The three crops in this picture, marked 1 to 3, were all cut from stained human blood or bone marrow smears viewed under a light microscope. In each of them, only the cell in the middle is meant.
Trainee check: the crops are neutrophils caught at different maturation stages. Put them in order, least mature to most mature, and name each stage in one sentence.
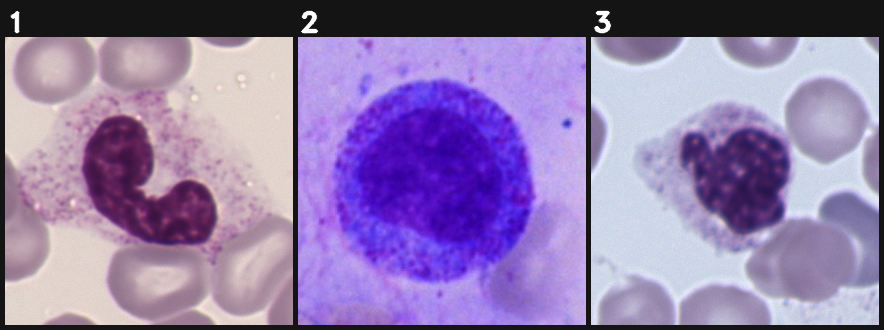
The ordering by maturity, from earliest to most mature, is crop 2 (a promyelocyte), crop 1 (a band neutrophil) and crop 3 (a segmented neutrophil).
